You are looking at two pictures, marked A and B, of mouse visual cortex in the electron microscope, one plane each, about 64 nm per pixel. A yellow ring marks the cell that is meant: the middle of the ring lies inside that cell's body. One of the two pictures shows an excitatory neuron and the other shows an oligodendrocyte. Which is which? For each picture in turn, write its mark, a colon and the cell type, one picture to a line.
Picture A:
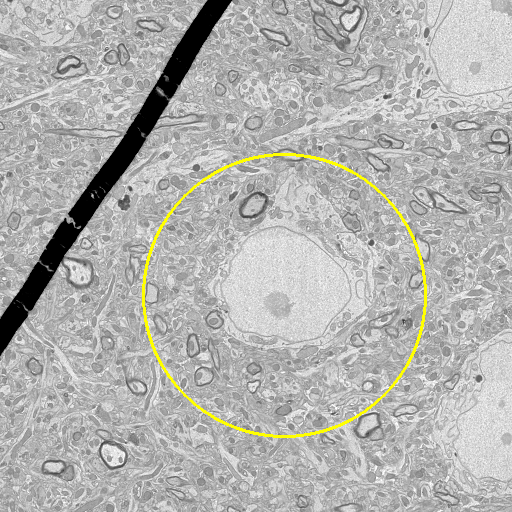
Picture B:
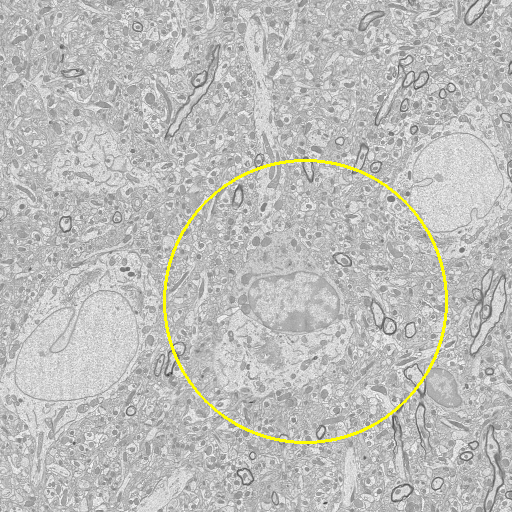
A: excitatory neuron
B: oligodendrocyte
